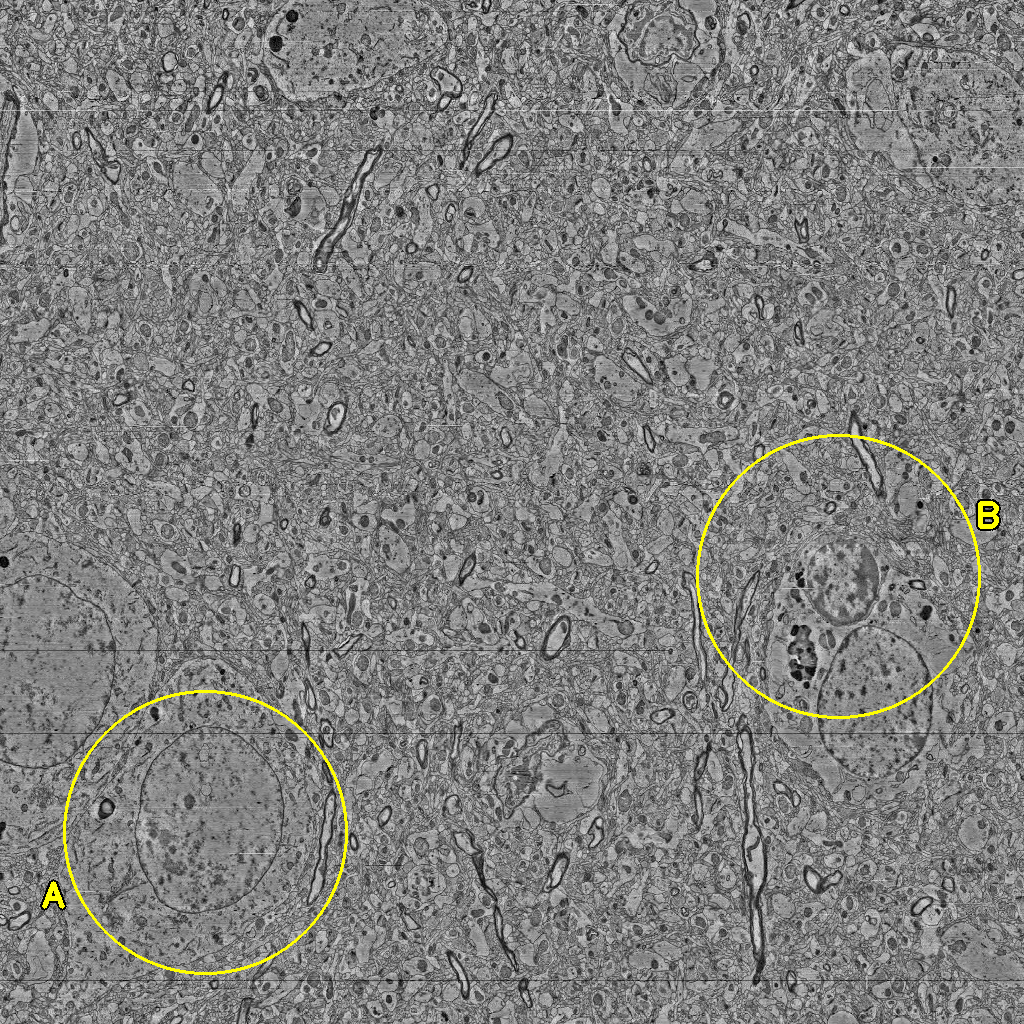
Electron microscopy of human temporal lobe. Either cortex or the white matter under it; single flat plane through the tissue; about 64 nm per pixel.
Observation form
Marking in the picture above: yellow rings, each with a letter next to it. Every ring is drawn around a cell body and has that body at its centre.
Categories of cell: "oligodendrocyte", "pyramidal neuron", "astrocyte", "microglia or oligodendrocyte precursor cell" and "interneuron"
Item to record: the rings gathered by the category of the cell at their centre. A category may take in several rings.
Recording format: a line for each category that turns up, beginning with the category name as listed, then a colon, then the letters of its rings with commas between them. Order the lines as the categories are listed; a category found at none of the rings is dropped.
oligodendrocyte: B
pyramidal neuron: A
